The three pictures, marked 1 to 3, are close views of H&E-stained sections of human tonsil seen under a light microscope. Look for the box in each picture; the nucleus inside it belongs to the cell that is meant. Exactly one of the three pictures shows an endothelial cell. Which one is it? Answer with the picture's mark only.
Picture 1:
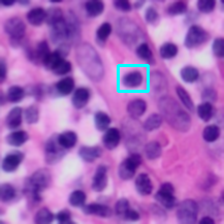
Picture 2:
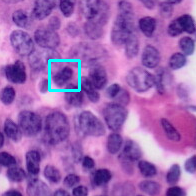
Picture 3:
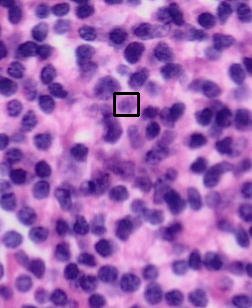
1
